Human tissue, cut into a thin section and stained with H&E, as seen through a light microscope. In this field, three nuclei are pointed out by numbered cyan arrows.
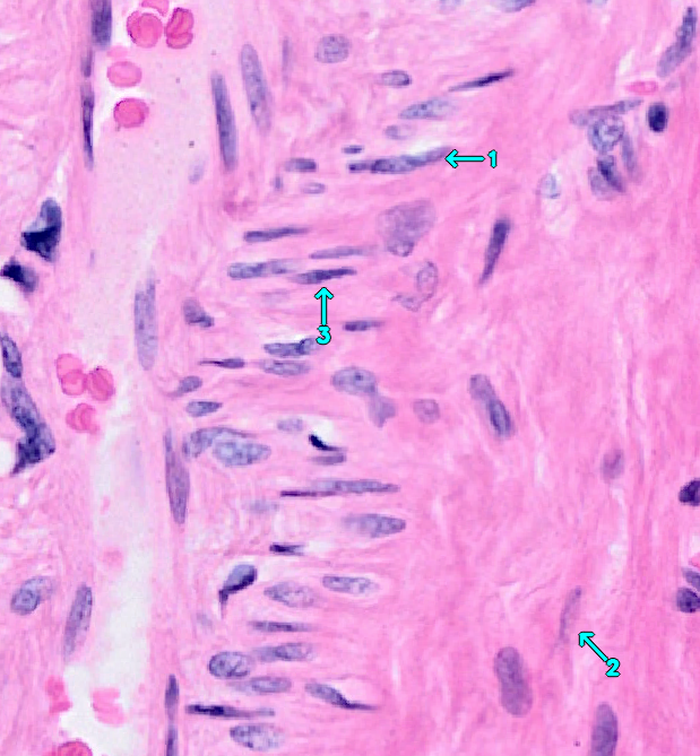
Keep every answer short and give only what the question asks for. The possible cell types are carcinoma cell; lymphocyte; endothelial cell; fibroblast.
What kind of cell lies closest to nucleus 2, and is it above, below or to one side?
a fibroblast, below and to the left of nucleus 2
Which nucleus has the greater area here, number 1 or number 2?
1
